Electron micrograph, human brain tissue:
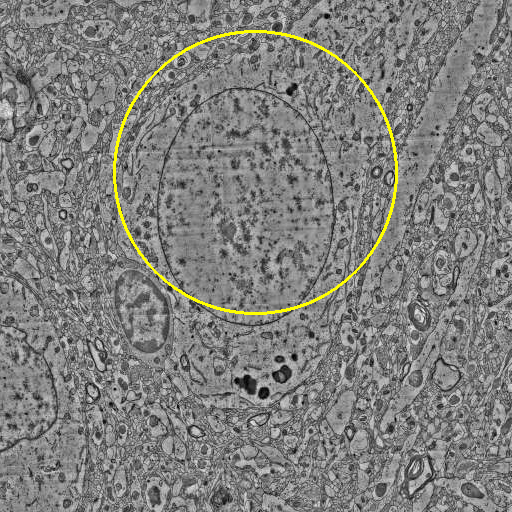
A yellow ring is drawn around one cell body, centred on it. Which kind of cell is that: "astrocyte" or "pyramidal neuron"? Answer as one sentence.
It is a pyramidal neuron at the centre of the ring.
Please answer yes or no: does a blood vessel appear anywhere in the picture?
No, there is none.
